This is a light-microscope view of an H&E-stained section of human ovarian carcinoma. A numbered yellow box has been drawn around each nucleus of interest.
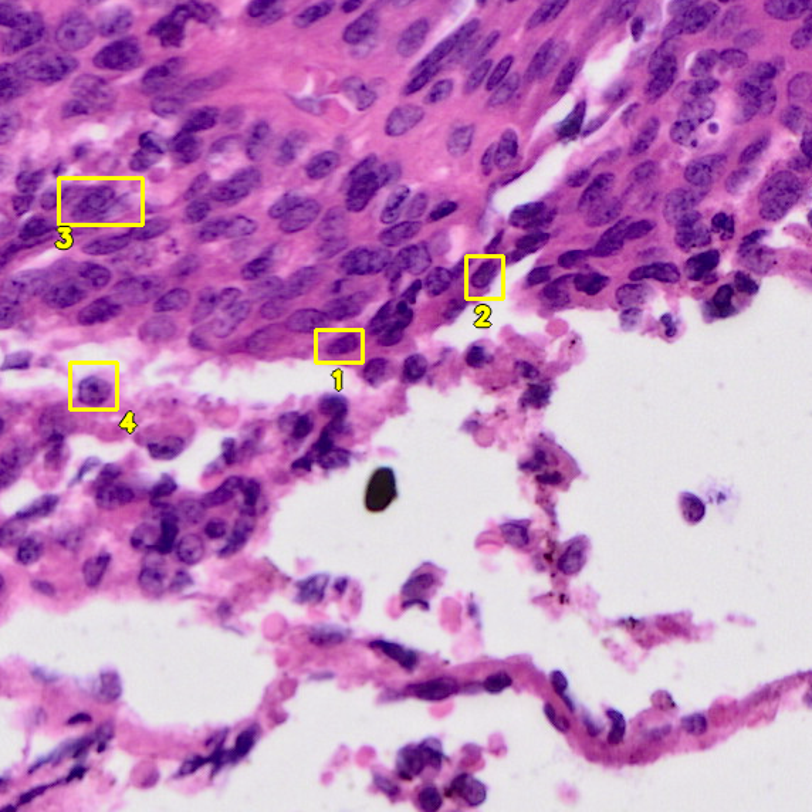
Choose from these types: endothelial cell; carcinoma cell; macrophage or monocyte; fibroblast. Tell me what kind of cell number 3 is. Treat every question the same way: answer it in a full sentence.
Number 3 is placed on a carcinoma cell here.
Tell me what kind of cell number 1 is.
Cell 1, as marked in the section, is a carcinoma cell.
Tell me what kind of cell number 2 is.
Numbered cell 2 is a carcinoma cell in this tissue section.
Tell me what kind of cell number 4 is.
The nucleus labeled 4 belongs to a macrophage or monocyte.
